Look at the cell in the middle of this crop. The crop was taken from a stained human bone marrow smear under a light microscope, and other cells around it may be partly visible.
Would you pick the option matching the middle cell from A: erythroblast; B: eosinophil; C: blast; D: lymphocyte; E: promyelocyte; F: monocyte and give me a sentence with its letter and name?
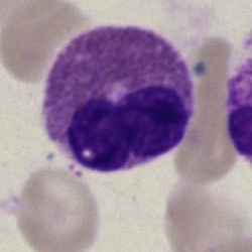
What option B states is correct, the central cell being an eosinophil.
